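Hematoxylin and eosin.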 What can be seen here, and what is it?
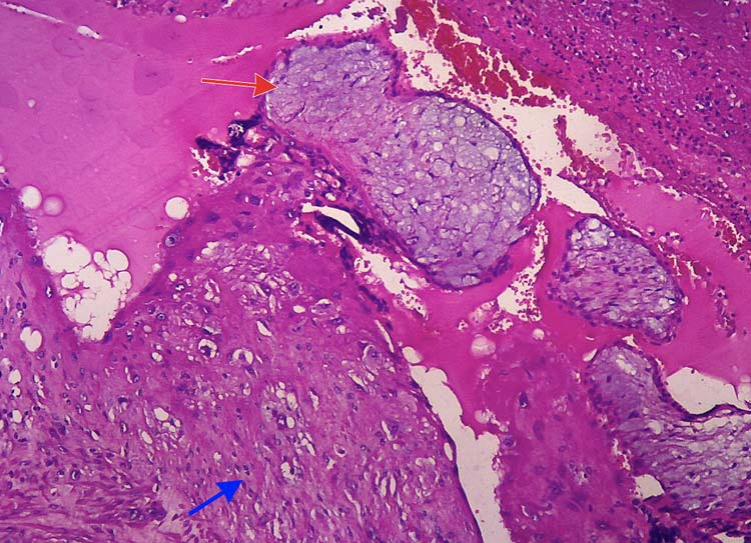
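Several rounded, pale bluish-grey villi lie embedded near fibromuscular tissue. The villi have a loose, vacuolated-looking stroma and a thin rim of cells at their edges. They sit within bright pink, largely acellular material, with red blood cells along one side.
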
